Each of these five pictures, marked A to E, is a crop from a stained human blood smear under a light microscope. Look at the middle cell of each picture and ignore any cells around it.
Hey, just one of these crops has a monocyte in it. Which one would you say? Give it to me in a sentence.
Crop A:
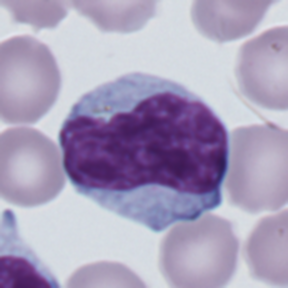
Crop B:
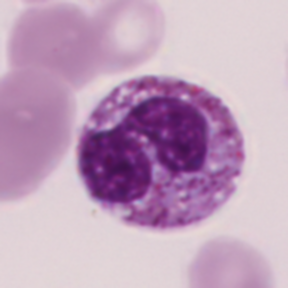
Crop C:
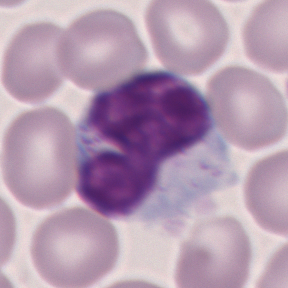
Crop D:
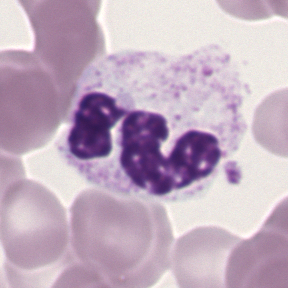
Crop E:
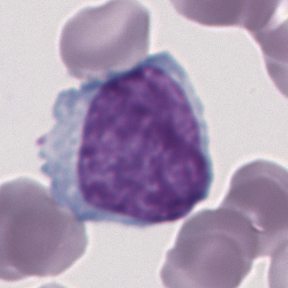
The one crop that shows a monocyte is crop A.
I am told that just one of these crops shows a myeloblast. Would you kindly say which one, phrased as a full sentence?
The one crop in the set with a myeloblast is crop E.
